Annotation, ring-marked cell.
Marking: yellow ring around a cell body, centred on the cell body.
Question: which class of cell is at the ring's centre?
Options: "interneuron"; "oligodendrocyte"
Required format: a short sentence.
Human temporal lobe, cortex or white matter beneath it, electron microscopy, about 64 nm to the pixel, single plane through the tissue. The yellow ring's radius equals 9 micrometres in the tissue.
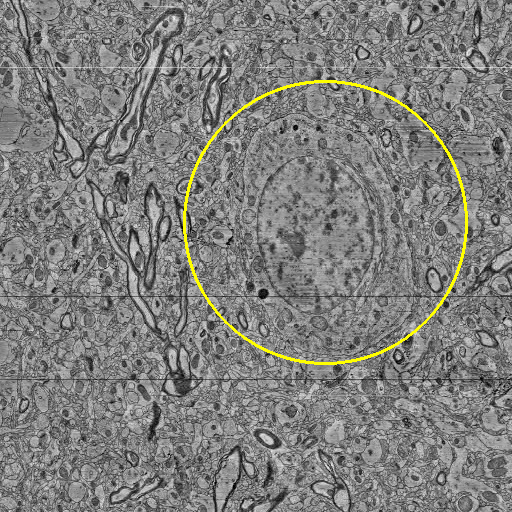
At the ring's centre is an interneuron.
